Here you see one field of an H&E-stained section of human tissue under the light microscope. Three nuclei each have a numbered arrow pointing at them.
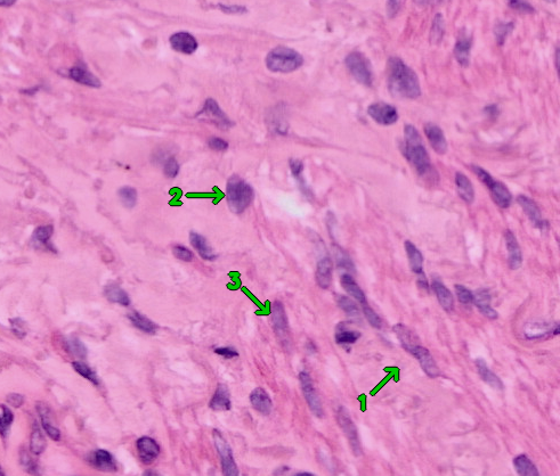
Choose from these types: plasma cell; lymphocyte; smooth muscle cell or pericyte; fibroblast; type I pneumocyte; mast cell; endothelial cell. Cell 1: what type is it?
smooth muscle cell or pericyte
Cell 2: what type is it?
fibroblast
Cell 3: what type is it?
smooth muscle cell or pericyte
